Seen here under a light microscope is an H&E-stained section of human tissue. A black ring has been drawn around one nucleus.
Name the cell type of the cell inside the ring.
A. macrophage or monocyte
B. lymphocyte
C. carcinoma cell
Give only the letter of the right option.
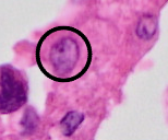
A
